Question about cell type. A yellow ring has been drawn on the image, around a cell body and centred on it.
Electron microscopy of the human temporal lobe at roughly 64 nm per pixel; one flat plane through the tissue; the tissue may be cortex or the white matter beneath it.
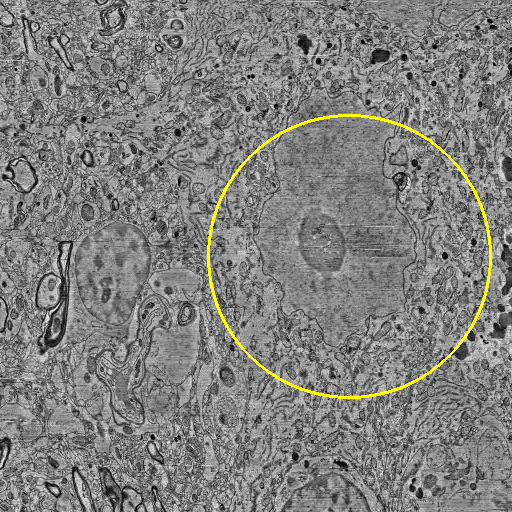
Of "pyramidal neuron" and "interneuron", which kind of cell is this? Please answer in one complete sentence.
At the centre of the ring lies a pyramidal neuron.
